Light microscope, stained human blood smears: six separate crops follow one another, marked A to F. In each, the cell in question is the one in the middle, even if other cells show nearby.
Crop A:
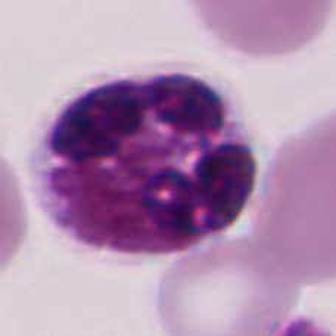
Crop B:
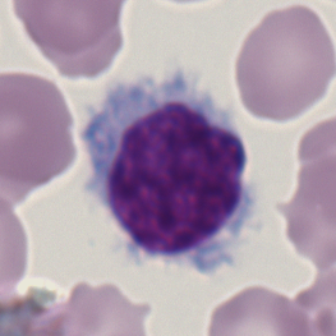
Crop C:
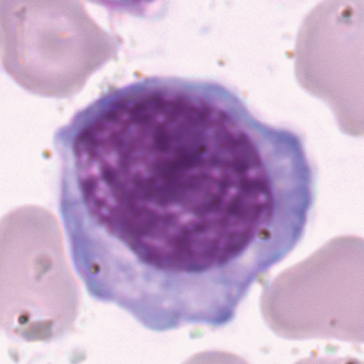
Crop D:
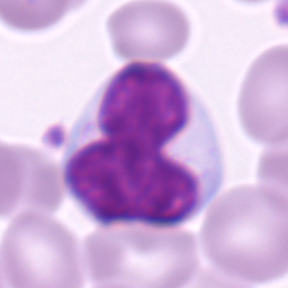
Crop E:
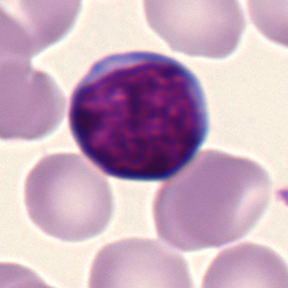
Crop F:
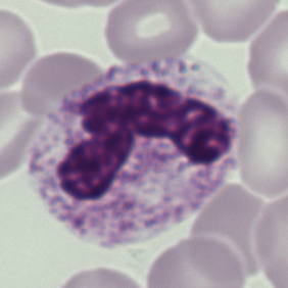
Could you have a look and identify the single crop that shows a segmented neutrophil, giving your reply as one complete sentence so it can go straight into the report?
The crop with a segmented neutrophil in it is crop F.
